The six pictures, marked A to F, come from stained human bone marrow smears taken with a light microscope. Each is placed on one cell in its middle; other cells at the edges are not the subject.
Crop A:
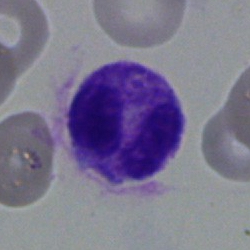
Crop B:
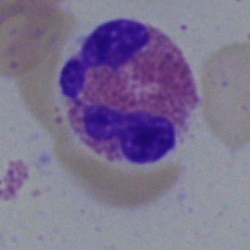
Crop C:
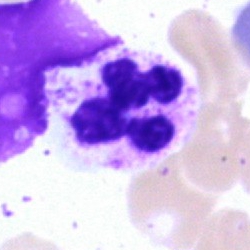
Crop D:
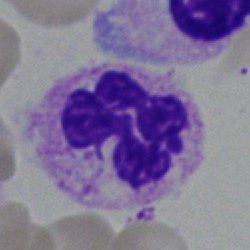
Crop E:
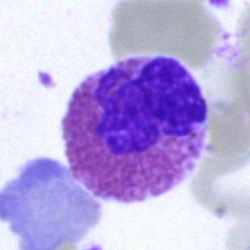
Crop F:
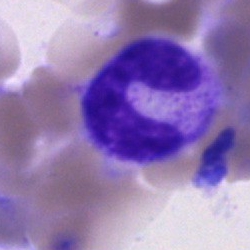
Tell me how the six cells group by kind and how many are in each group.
segmented neutrophil: 3
eosinophil: 2
band neutrophil: 1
